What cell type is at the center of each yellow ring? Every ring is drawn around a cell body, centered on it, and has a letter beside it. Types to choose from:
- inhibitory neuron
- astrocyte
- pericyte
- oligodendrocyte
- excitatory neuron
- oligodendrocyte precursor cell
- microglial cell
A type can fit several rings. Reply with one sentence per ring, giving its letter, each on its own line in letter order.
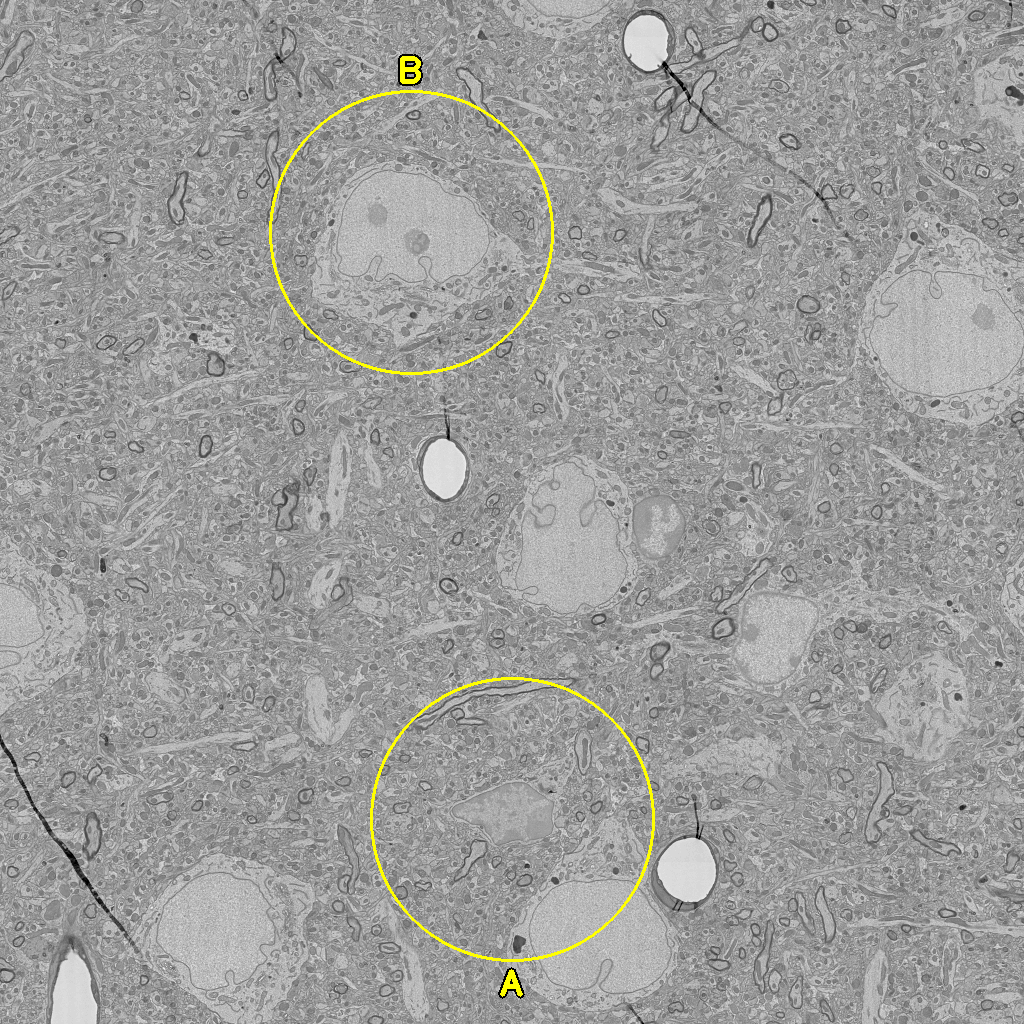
Ring A is placed around a microglial cell.
Ring B is placed around an excitatory neuron.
